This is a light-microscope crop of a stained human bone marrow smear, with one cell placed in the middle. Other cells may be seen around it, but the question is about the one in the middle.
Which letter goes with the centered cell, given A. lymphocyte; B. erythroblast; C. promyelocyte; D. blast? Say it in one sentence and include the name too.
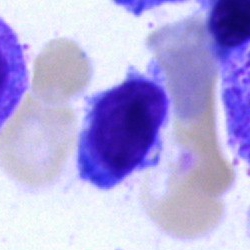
The cell at the centre, correctly named in option A, is a lymphocyte.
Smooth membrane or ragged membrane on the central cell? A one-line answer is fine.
Because its outline is ragged or drawn out into projections, the cell lacks a smooth border.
